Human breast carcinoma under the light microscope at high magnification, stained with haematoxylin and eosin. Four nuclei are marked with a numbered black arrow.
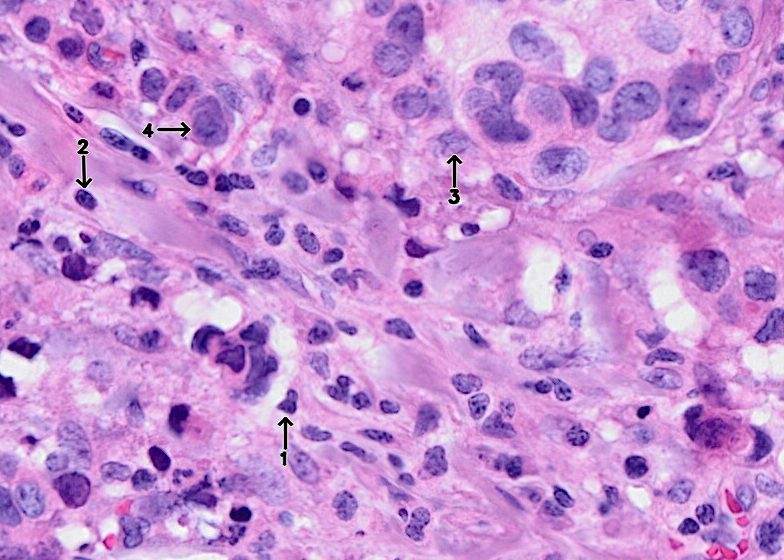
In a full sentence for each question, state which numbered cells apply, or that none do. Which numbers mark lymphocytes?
In this section, the cells numbered 1 and 2 are lymphocytes.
